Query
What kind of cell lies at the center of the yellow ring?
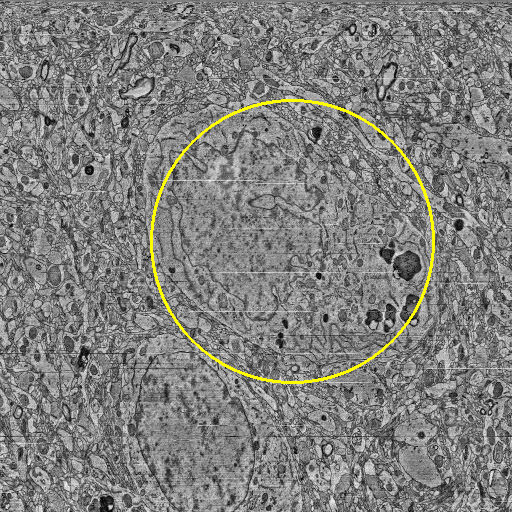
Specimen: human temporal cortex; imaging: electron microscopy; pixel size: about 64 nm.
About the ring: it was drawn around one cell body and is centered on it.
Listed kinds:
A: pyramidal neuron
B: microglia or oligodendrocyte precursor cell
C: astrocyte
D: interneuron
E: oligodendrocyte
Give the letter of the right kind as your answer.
D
